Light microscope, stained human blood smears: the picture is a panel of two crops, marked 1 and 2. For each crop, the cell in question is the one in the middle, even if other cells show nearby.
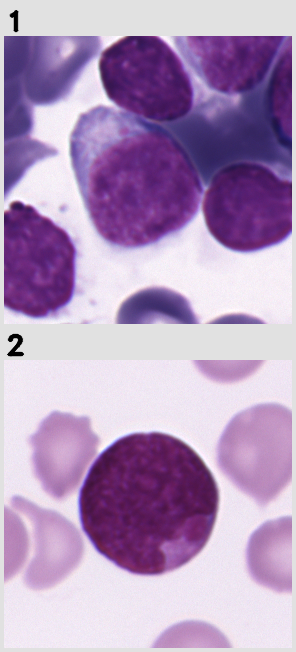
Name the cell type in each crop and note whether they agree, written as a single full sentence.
Yes, the same answer goes for both crops, namely myeloblasts.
